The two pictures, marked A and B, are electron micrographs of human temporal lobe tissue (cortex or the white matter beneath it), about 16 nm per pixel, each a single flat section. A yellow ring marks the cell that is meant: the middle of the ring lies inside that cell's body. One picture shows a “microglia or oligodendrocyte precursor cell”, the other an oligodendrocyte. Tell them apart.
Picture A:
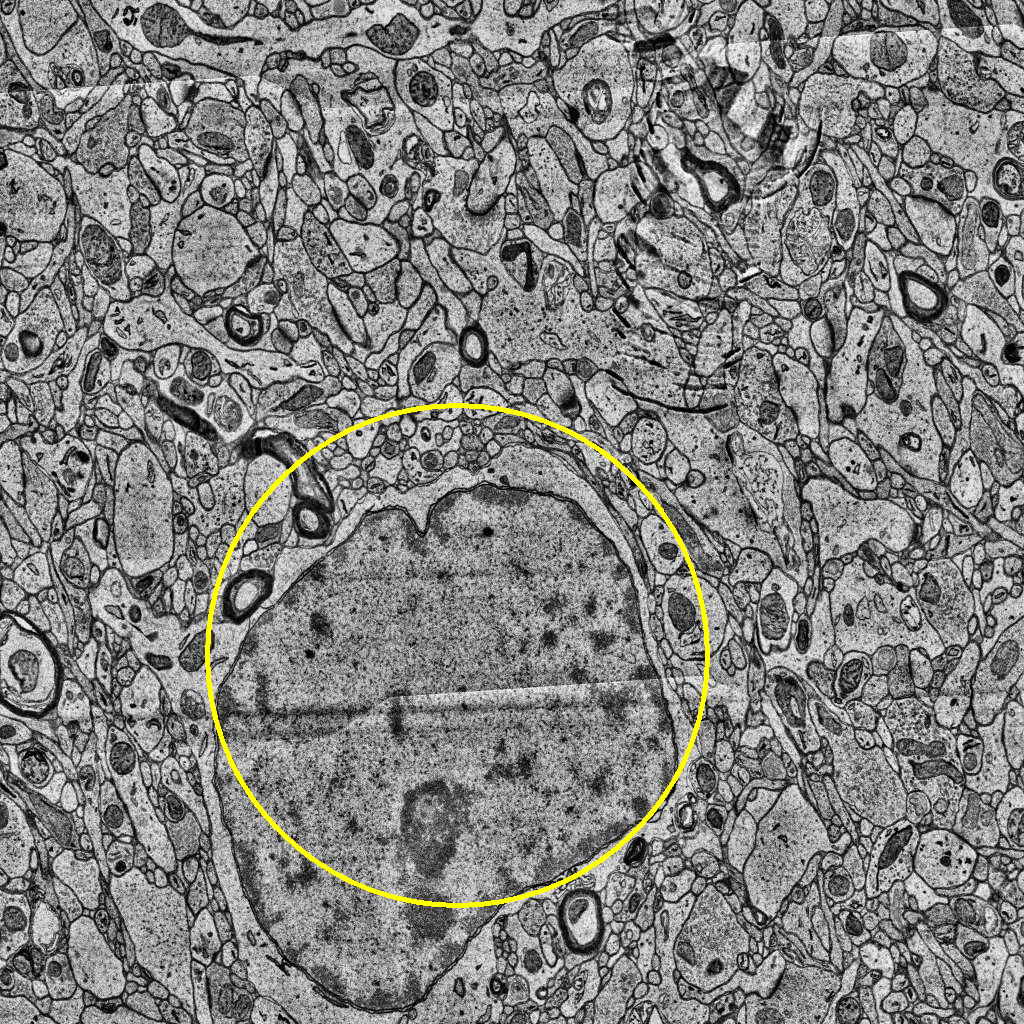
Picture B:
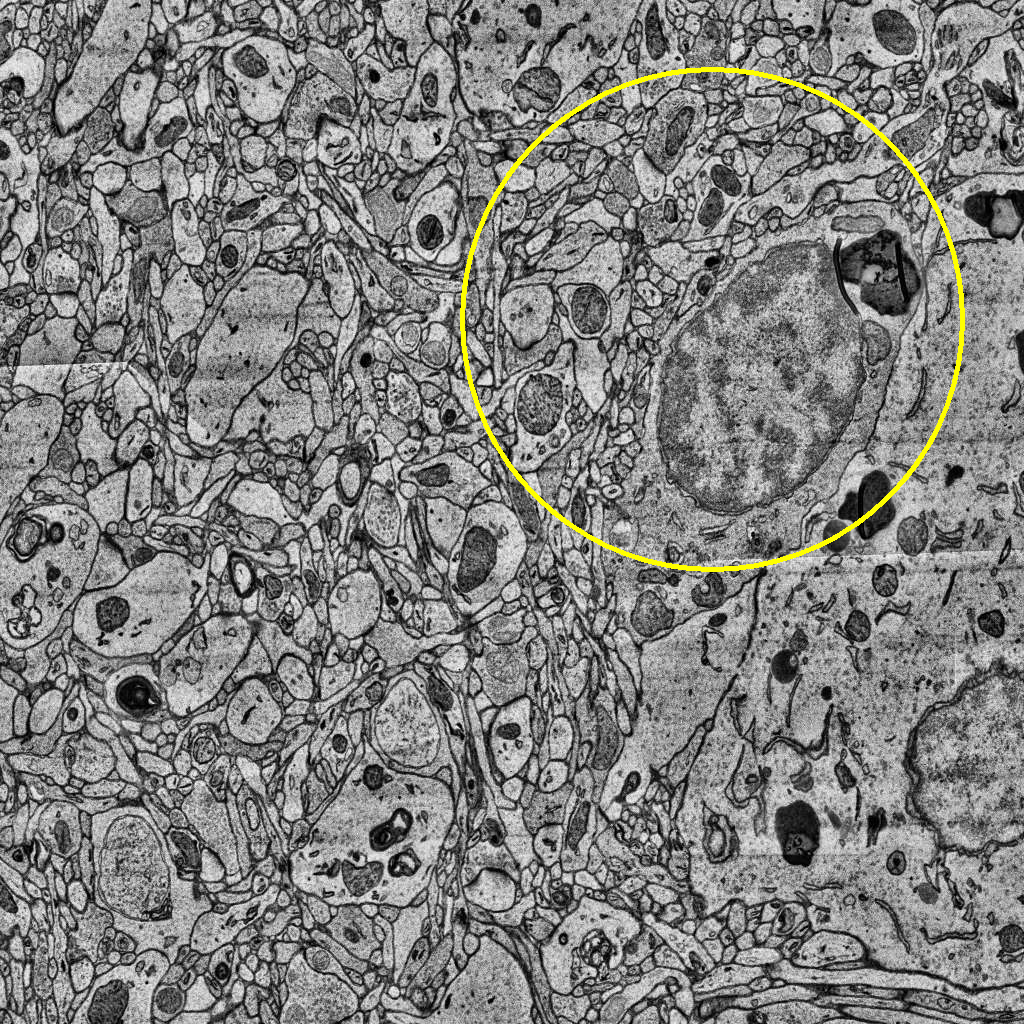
In picture A the cell is a “microglia or oligodendrocyte precursor cell”; in picture B, an oligodendrocyte.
